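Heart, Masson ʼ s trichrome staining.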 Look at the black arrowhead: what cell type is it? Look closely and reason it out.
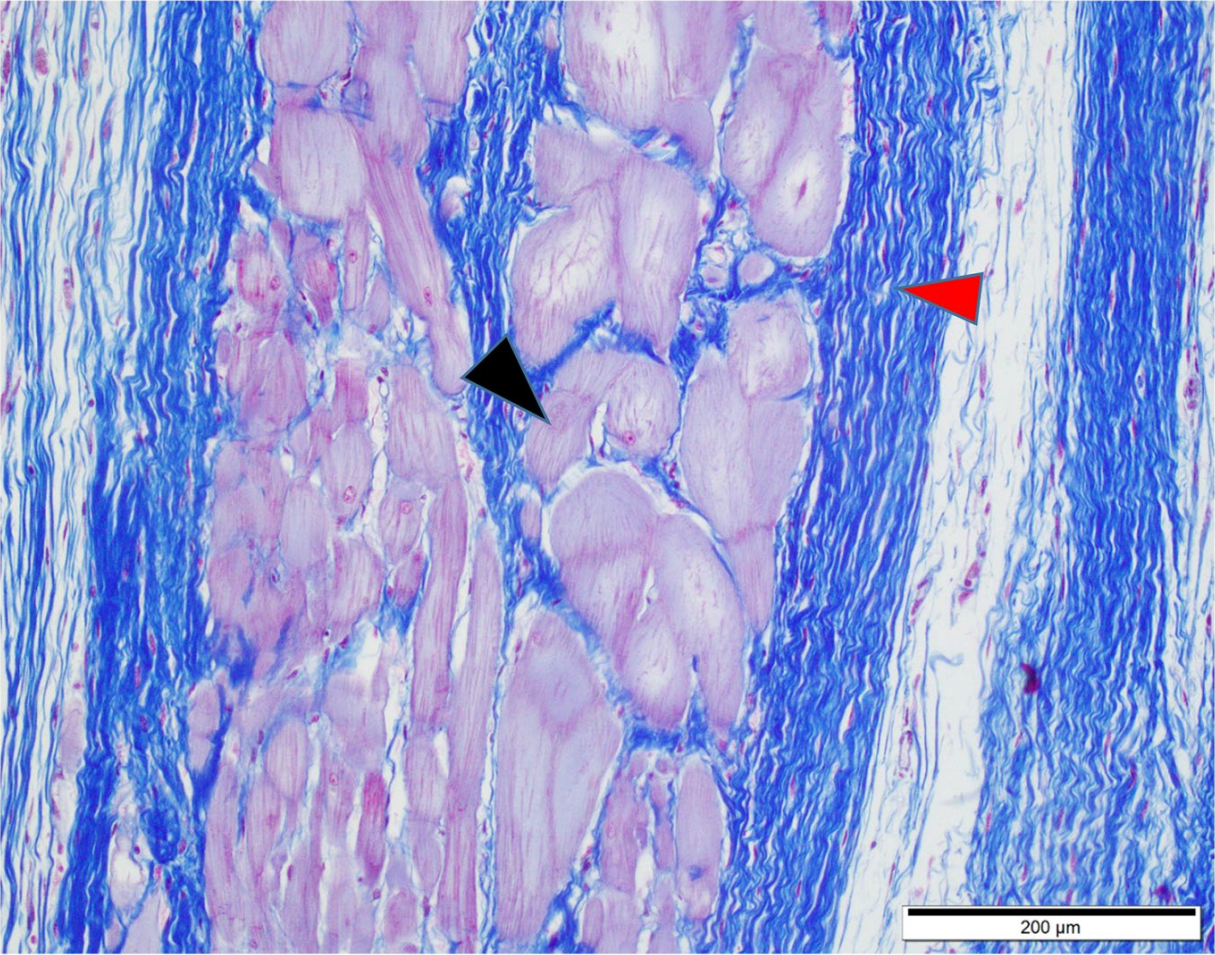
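Purkinje fibres. The arrowhead points into a cluster of large, pale pink-purple fibres. The fibres are much wider than the surrounding fibrous strands and have pale cytoplasm with faint striations. Some fibres show a small centrally placed nucleus. The fibres lie in groups separated by blue-stained connective tissue.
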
